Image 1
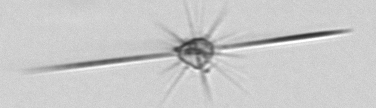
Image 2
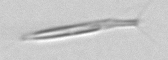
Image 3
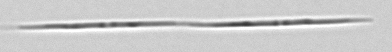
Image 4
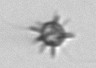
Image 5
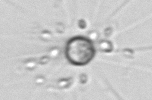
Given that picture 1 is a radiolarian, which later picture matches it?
5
